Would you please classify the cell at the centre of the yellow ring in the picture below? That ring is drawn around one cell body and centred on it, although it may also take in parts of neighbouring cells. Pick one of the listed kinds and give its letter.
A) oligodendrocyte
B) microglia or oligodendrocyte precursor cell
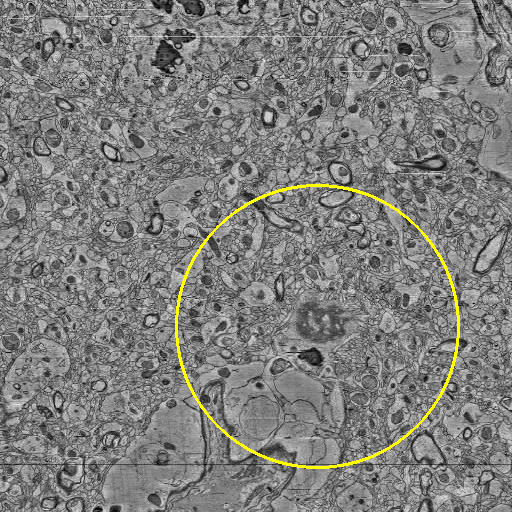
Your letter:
A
